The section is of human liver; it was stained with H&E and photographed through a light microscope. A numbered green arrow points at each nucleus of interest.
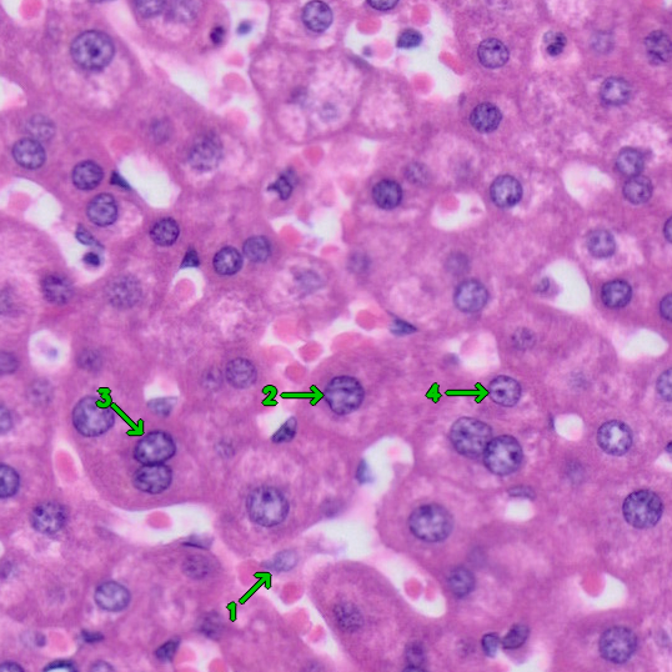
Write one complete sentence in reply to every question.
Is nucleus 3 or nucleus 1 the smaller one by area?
Number 1 is smaller, since number 3 takes up about 2 times as much area.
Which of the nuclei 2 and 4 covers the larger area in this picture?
Number 2 is larger; its area is about 1.5 times that of number 4.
